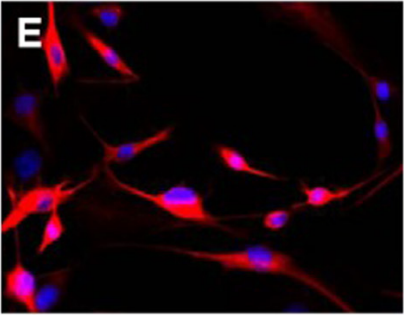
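These are cultured cells seen by fluorescence, scattered singly across a dark field. Many cells are spindle-shaped or bipolar, with a compact body around the nucleus and long, thin red processes drawn out from both ends; some have three or more tapering extensions. Several processes run toward neighbouring cells so that the cells appear loosely connected in a network. The red label is brightest in the cell body around the nucleus and fades along the processes. A few blue nuclei at the edge have little red around them.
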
